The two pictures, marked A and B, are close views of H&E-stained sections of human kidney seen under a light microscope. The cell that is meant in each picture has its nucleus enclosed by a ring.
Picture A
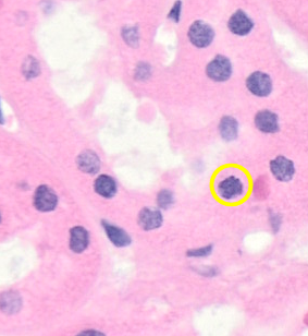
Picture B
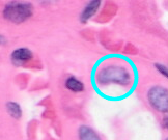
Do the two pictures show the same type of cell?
yes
